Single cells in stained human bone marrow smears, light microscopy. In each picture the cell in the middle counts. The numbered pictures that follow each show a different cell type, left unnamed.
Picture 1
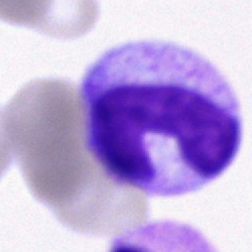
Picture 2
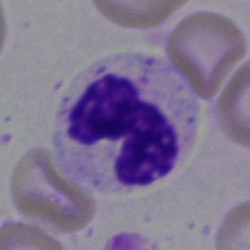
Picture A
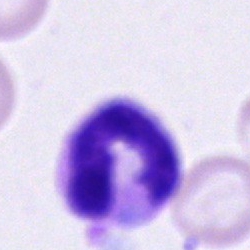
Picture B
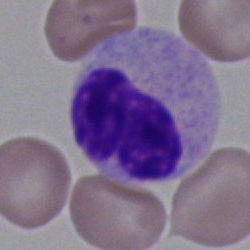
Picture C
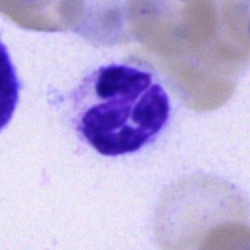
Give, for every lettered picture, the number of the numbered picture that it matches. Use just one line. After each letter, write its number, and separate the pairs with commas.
A 2, B 1, C 2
